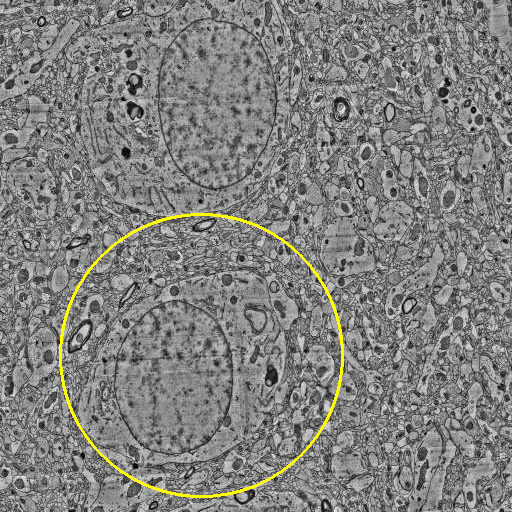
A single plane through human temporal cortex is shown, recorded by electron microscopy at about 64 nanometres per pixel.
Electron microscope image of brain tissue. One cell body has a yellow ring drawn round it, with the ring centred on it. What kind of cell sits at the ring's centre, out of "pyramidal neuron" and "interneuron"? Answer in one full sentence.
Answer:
It is a pyramidal neuron whose cell body sits at the centre of the yellow ring.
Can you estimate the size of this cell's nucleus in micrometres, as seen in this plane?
The ringed cell's nucleus is about 10 micrometres long and 8 micrometres wide in this plane.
